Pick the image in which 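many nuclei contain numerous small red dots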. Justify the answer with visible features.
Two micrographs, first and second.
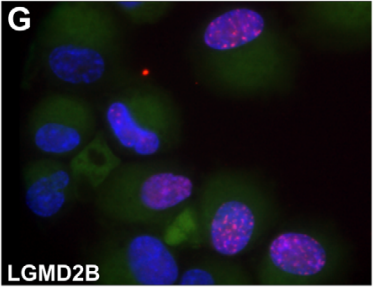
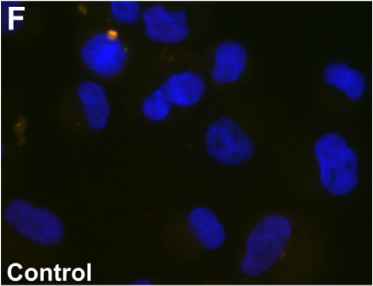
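First image: several blue nuclei are speckled with many red dots. Second image: the blue nuclei show no red dots inside them.
Conclusion: the first image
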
